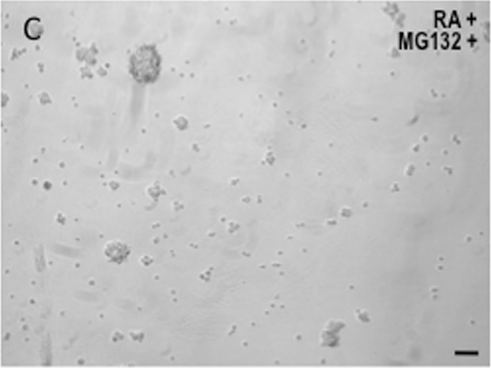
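The spheres that are present are small and rounded with a lumpy surface of packed cells. Most of the field is taken up by scattered single round cells and tiny irregular clumps of a few cells. These small particles are spread widely over the smooth grey background.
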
